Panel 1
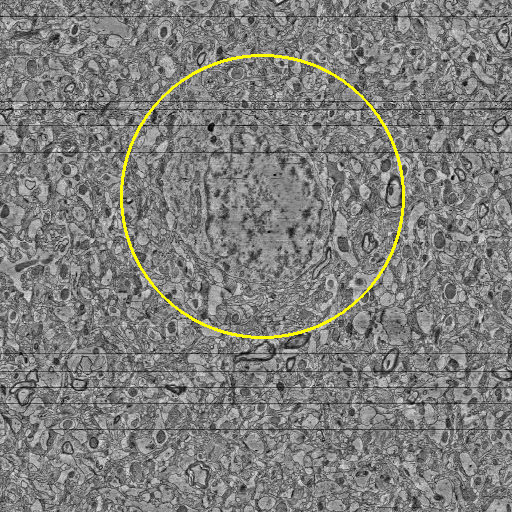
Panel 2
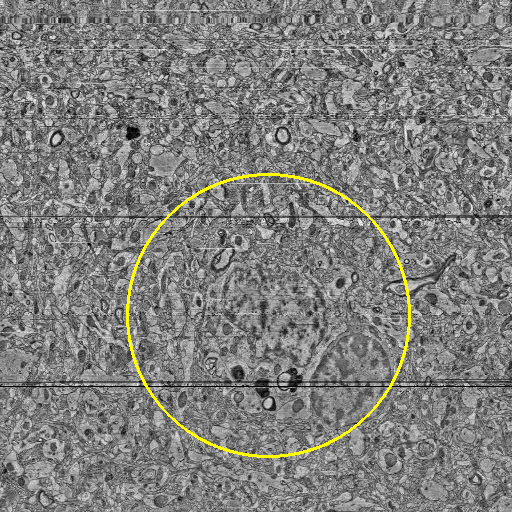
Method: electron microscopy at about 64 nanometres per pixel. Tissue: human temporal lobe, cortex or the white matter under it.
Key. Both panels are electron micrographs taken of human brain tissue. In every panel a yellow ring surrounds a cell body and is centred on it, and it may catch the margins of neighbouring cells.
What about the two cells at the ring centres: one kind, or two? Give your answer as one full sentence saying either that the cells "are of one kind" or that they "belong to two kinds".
Across Panels 1 and 2, the two cells at the ring centres are of one kind.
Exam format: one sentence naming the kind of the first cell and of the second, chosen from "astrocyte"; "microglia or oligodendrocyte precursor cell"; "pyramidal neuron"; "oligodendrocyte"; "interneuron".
The ring centre holds an interneuron in each of the two pictures.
